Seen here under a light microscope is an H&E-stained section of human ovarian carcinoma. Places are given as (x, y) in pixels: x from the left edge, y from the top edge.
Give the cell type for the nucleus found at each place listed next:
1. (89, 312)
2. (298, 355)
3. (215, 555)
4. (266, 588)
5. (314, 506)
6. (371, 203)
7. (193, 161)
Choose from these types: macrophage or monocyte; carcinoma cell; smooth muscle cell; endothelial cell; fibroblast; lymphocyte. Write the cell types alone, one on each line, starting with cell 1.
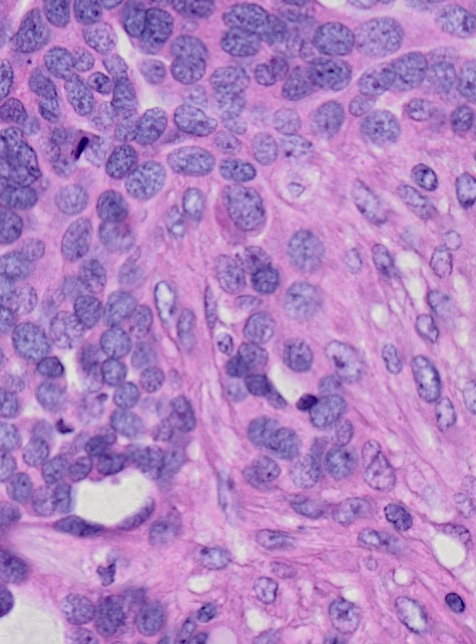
carcinoma cell
carcinoma cell
fibroblast
fibroblast
fibroblast
fibroblast
carcinoma cell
